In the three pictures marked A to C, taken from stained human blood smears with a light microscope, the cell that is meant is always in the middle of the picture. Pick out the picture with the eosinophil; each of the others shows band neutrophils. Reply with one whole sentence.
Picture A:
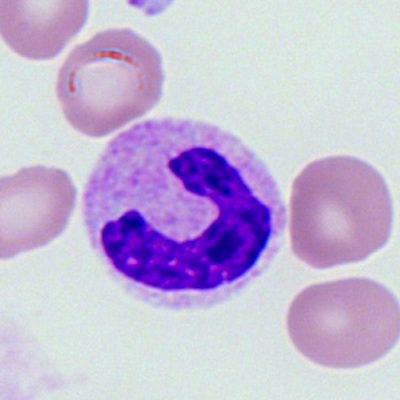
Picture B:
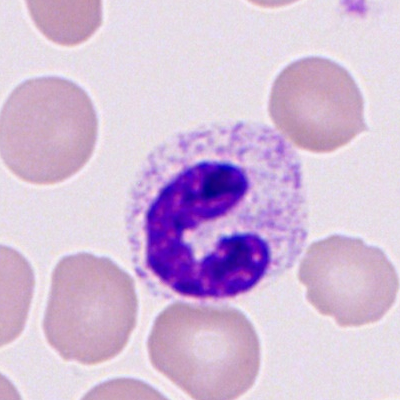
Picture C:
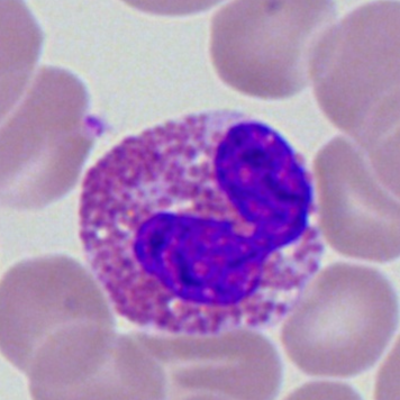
The eosinophil is the one in picture C.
